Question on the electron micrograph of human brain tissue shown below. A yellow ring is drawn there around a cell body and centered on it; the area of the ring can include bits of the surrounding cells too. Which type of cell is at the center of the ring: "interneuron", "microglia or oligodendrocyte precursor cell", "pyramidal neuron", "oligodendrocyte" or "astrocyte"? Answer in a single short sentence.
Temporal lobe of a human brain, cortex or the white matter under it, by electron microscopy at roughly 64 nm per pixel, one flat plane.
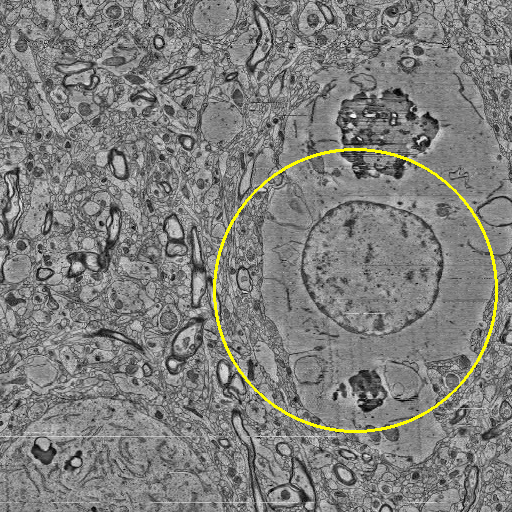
The ring is centered on an astrocyte.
